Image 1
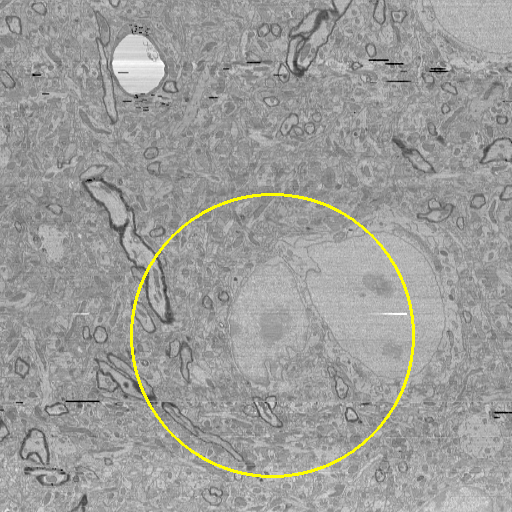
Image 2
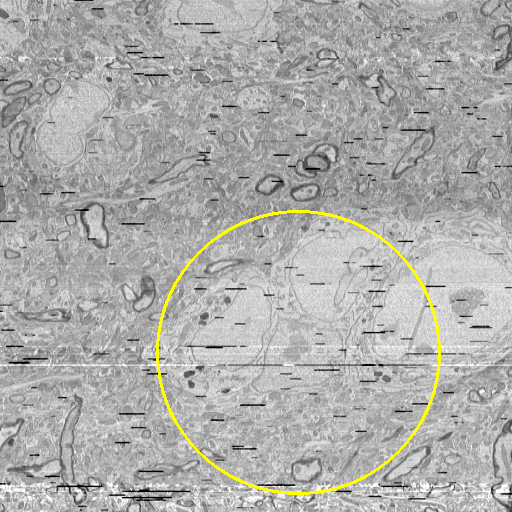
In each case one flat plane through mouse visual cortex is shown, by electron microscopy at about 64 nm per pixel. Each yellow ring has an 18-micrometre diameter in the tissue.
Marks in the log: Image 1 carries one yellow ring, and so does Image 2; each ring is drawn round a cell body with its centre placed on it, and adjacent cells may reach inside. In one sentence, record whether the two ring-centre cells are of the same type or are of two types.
The two cells at the ring centres, one in each image, are of the same type.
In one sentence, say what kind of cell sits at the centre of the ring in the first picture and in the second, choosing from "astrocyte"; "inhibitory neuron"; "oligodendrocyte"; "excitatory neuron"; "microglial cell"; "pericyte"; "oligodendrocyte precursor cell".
Both pictures show an oligodendrocyte precursor cell at the centre of the ring.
